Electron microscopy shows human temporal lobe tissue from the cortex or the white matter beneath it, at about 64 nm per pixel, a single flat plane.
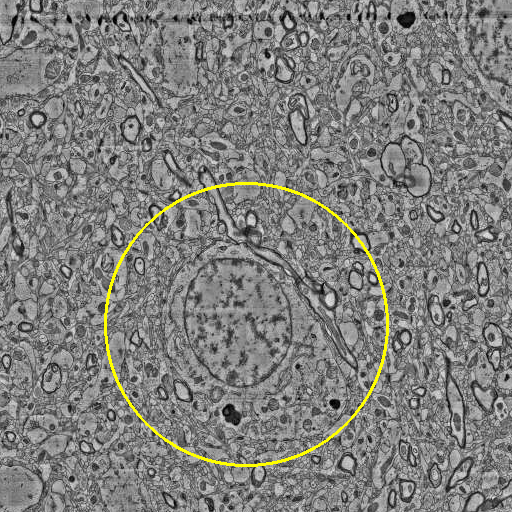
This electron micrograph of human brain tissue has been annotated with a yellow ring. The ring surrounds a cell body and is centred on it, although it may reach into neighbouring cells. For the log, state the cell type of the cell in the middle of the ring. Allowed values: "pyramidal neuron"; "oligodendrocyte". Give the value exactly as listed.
pyramidal neuron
